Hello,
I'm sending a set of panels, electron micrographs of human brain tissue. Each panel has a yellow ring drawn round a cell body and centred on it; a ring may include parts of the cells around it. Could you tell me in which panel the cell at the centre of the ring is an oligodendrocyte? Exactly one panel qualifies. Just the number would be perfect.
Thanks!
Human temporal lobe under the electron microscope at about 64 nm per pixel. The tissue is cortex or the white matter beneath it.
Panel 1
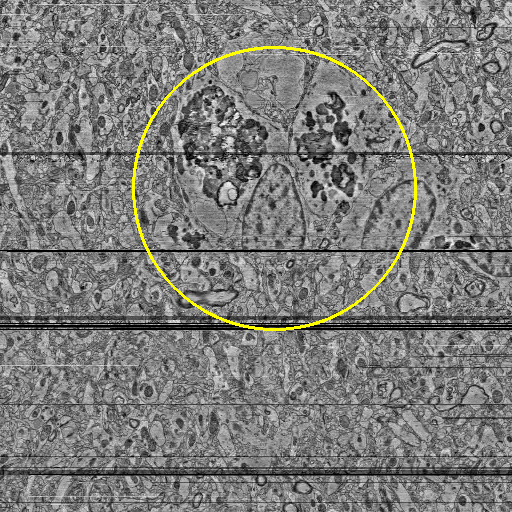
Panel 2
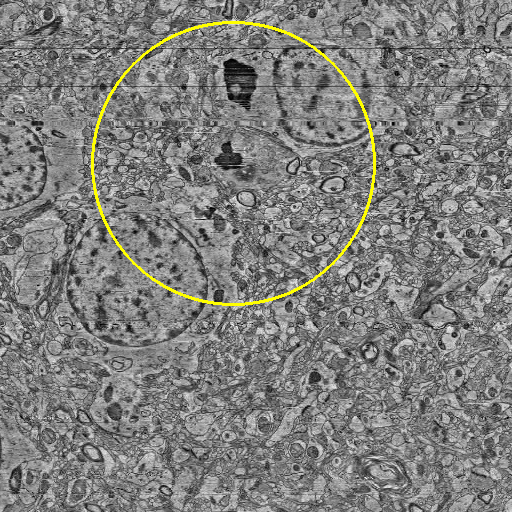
2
